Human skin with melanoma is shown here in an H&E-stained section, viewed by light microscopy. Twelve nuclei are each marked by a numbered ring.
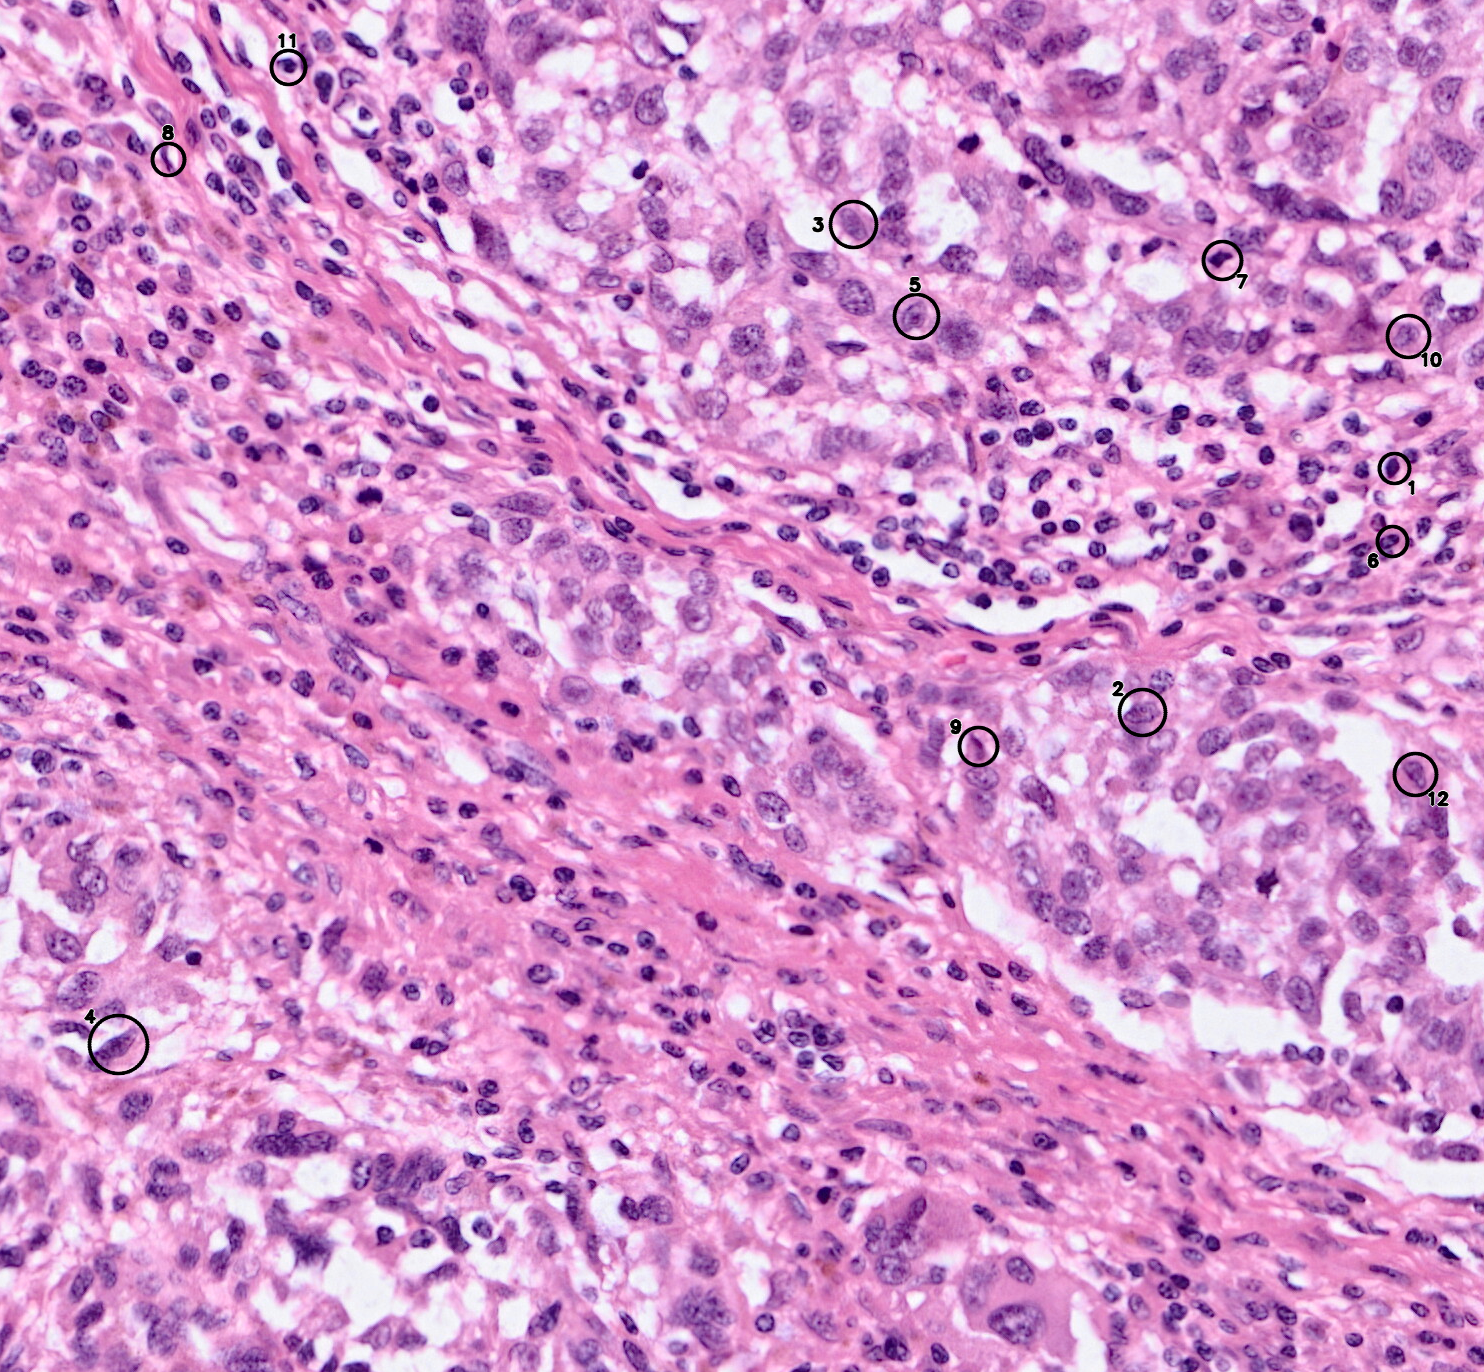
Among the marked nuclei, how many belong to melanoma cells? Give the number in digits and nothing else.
7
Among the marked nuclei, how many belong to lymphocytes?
3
